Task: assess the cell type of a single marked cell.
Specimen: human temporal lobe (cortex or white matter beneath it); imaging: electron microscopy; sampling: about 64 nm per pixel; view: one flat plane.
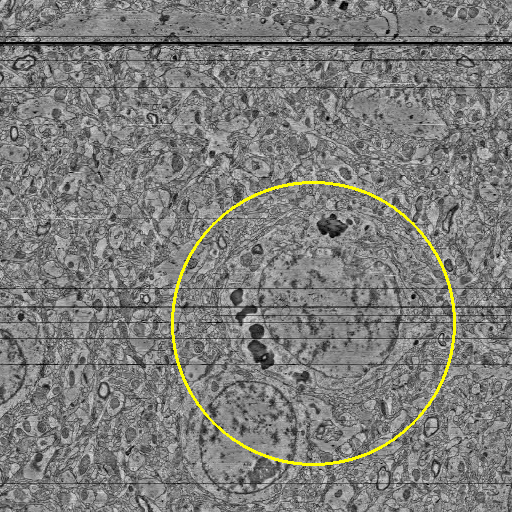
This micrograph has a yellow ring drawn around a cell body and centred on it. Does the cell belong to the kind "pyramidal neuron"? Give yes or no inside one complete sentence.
No, the marked cell at the centre of the ring belongs to another kind.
